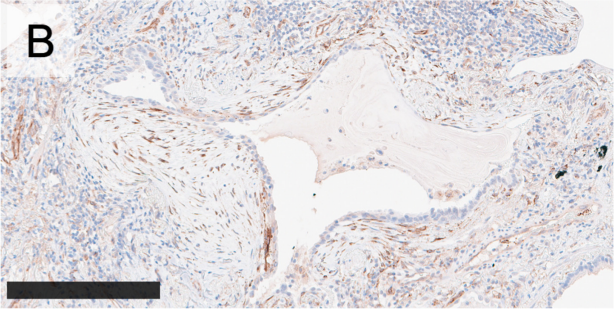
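The section shows a fibrotic lesion whose elongated fibroblastic cells have brown-stained cytoplasm against a blue counterstain. These spindle-shaped cells lie in parallel streams within the pale stroma. A lining of cuboidal epithelial cells borders an irregular space filled with pale material, and clusters of small blue-stained round cells lie in the surrounding tissue. Black pigment deposits are seen at the right.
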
